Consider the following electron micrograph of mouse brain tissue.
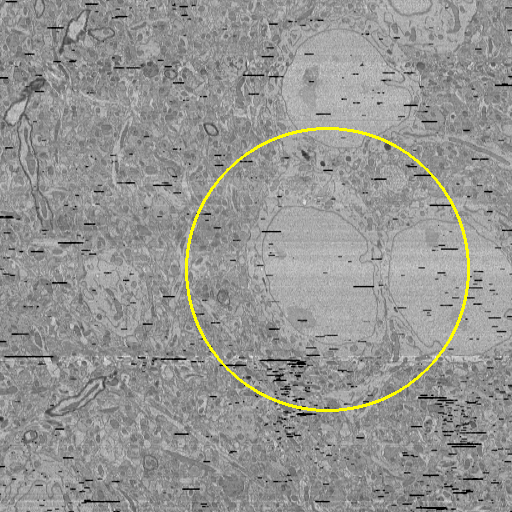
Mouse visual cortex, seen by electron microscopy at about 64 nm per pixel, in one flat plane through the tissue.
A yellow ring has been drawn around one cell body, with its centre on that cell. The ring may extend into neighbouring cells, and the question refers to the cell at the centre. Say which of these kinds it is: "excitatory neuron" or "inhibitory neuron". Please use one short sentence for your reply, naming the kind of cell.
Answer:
The centre of the ring falls on an excitatory neuron.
